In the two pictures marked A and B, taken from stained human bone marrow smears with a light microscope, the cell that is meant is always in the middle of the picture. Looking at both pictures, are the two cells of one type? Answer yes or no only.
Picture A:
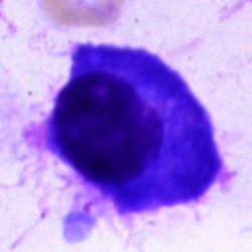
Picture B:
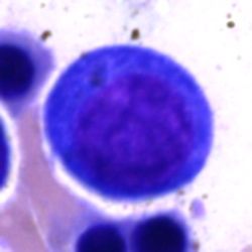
no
